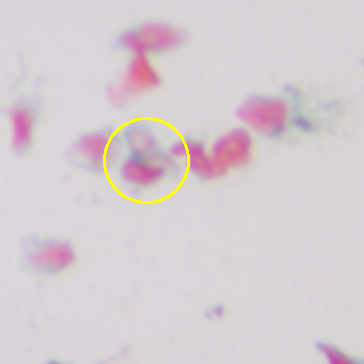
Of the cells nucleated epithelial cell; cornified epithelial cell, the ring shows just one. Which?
The ring shows a cornified epithelial cell.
